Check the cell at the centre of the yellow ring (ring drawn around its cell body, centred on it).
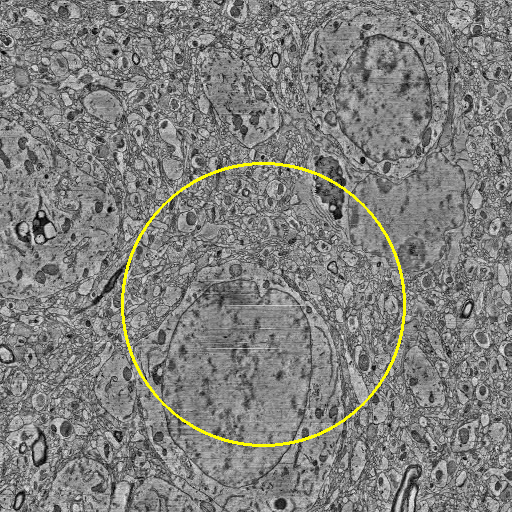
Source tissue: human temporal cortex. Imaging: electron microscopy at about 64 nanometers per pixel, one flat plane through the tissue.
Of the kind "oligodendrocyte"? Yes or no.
no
